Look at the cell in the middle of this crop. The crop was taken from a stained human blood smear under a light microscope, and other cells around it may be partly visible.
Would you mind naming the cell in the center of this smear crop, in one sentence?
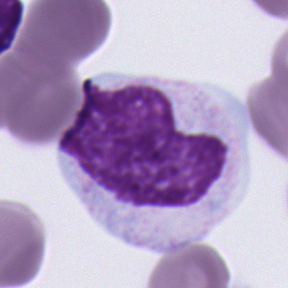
Regarding the central cell, it is a metamyelocyte.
